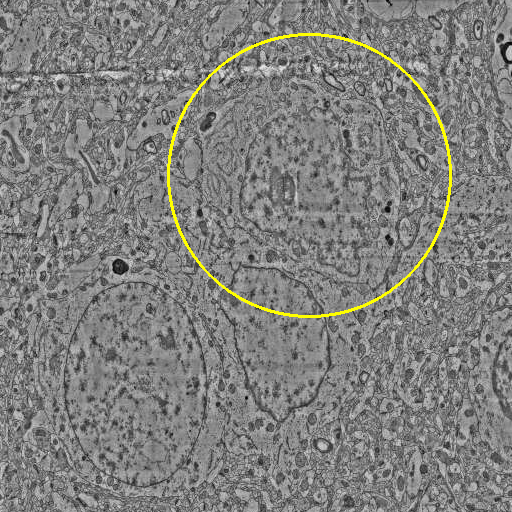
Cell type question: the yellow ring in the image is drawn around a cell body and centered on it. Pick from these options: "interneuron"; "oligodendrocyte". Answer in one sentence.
The ringed cell at the center is an interneuron.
